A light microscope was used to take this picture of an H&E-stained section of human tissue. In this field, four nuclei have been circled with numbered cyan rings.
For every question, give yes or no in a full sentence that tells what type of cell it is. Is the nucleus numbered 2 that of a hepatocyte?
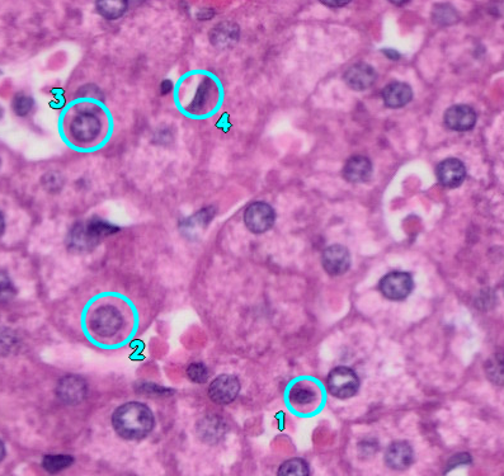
Yes, the one numbered 2 is a hepatocyte.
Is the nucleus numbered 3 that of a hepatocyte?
Yes, exactly, the cell numbered 3 is a hepatocyte.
